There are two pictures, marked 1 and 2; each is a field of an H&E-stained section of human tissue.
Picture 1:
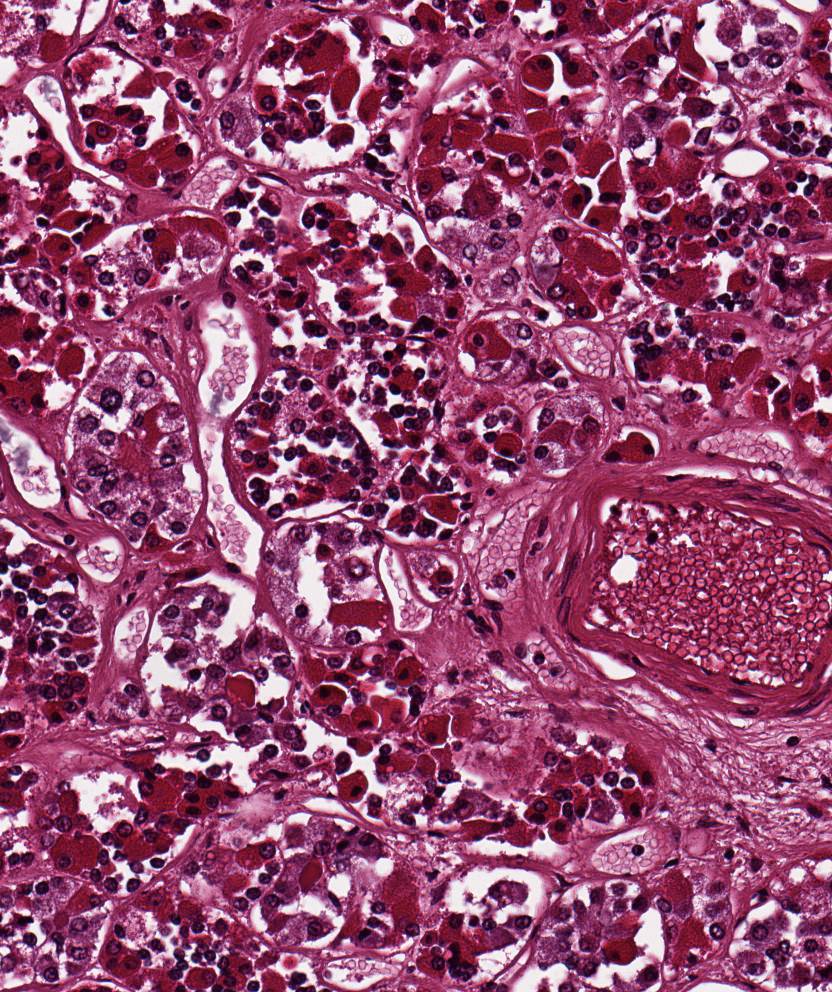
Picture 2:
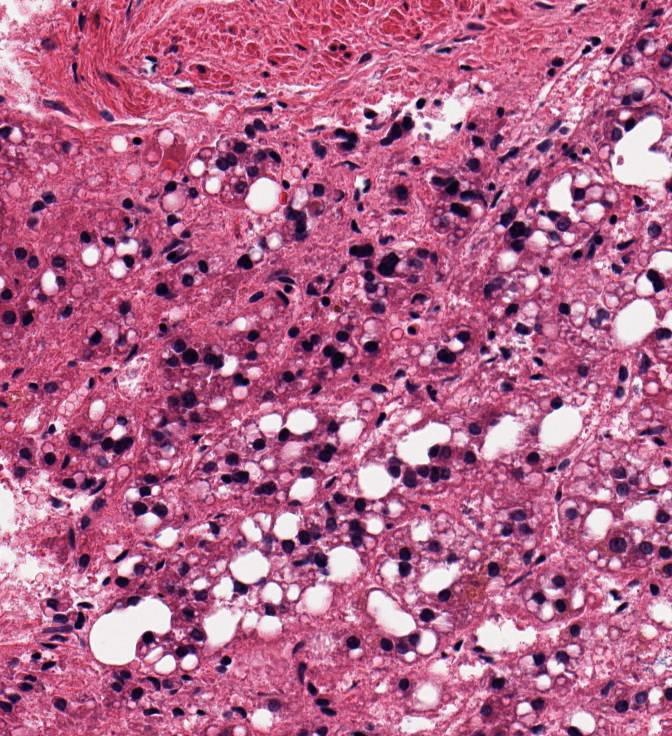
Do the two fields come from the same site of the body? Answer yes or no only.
no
